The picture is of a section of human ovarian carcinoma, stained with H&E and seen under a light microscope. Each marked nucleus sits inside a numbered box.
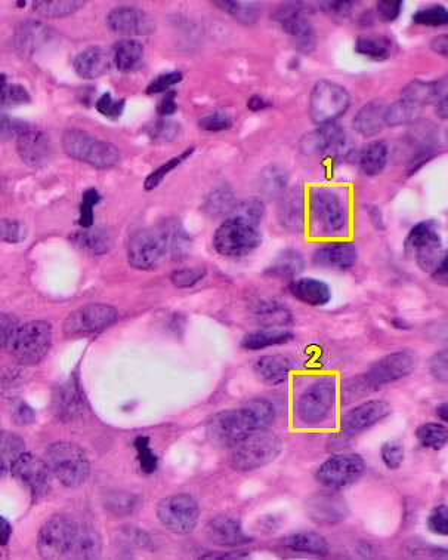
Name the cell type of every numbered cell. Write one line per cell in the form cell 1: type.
cell 1: macrophage or monocyte
cell 2: carcinoma cell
